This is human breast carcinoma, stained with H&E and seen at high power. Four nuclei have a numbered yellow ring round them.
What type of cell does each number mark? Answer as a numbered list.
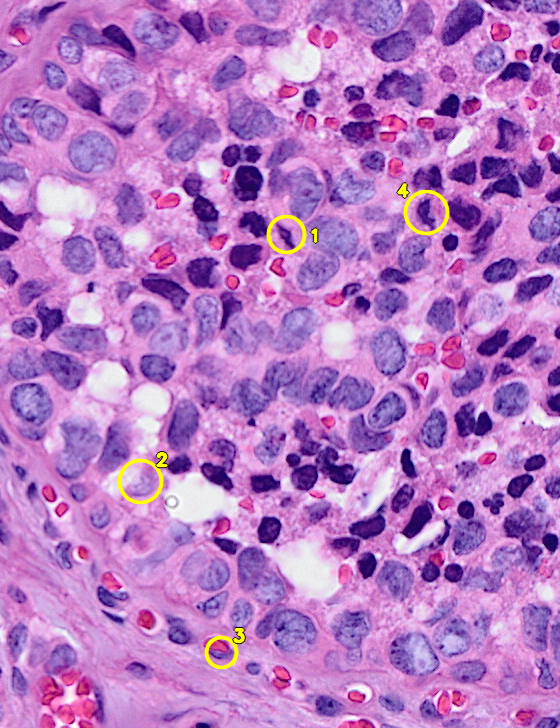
1. carcinoma cell
2. carcinoma cell
3. endothelial cell
4. carcinoma cell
